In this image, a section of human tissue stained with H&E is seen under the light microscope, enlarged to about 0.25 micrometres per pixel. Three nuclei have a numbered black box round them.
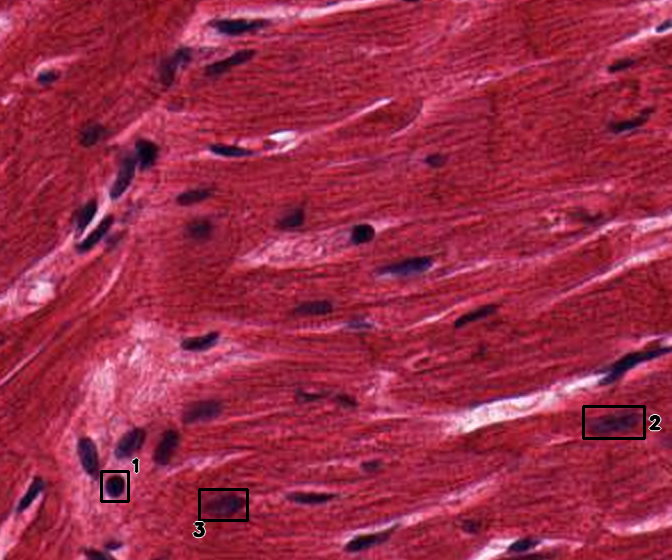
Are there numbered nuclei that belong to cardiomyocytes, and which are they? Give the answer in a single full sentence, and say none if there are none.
Nuclei bearing the numbers 2 and 3 lie in cardiomyocytes.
